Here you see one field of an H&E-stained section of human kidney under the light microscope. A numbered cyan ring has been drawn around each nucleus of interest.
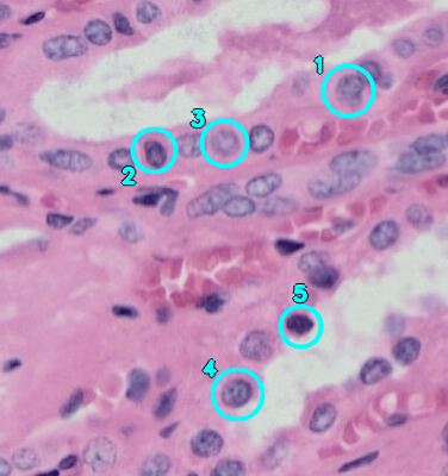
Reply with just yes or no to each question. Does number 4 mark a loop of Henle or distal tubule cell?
yes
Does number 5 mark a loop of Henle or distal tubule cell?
yes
